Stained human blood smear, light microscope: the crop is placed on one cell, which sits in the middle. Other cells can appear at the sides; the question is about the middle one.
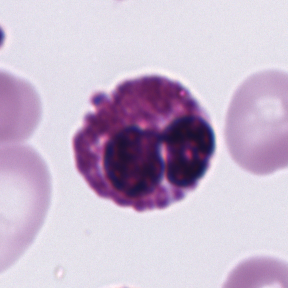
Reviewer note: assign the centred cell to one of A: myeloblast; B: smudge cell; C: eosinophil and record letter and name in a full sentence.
The cell at the centre, correctly named in option C, is an eosinophil.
